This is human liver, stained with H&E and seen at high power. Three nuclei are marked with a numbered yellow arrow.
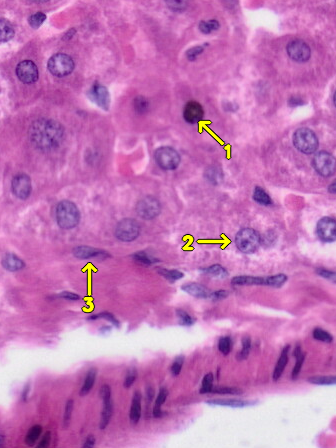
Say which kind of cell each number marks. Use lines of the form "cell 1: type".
cell 1: hepatocyte
cell 2: hepatocyte
cell 3: fibroblast or stellate cell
